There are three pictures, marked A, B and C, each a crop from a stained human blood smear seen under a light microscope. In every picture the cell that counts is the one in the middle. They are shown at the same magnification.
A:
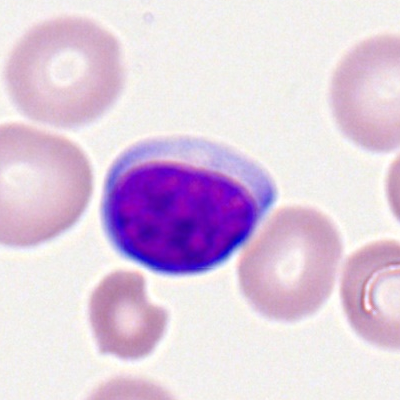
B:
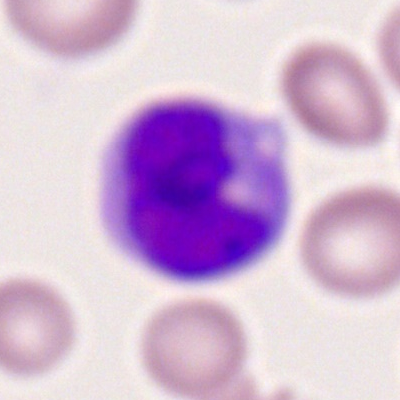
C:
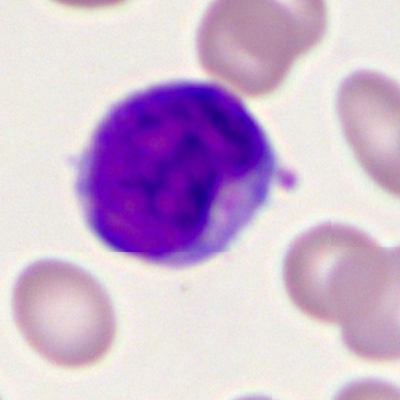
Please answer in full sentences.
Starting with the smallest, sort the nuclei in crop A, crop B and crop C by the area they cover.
Going up, they run A, B, C.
